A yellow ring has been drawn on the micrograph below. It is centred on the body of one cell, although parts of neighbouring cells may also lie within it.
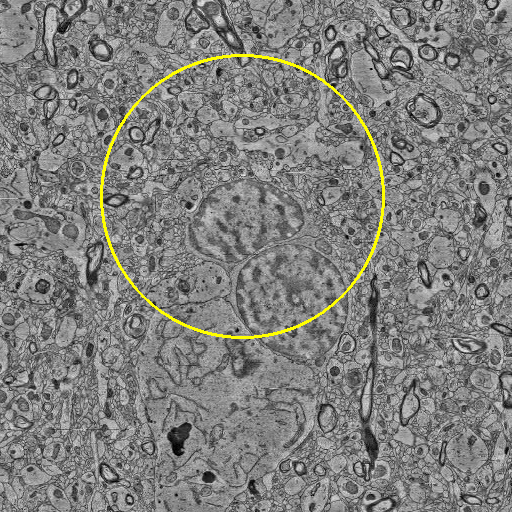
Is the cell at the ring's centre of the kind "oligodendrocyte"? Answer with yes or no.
yes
